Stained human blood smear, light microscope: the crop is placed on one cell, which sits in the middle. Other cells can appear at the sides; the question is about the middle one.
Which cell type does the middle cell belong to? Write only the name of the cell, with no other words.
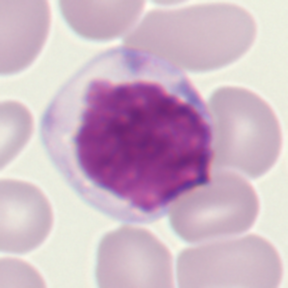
large granular lymphocyte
